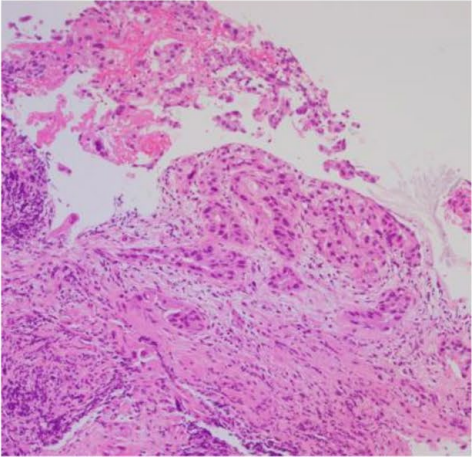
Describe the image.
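A biopsy fragment, stained pink and purple, shows a proliferation of atypical epithelial cells within pink fibrous stroma. In the center, crowded epithelial cells with enlarged, dark, irregular nuclei form a disorderly sheet rather than a neat lining layer. Above lies a loose, fragmented strip of pink material with scattered cells, and toward the left edge there is a dense area of small, dark-staining nuclei. The lower part shows pink stroma with elongated, spindle-shaped nuclei between which further atypical cells are set.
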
